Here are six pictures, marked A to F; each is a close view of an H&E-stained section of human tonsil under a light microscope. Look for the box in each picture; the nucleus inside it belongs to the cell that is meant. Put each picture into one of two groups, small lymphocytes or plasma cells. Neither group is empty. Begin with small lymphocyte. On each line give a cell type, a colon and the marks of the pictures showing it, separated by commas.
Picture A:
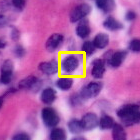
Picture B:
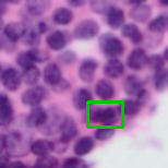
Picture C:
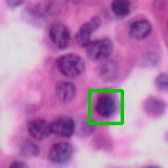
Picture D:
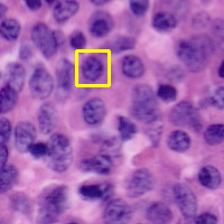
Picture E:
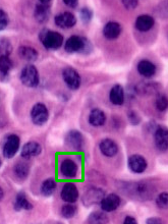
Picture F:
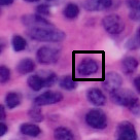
small lymphocyte: A, B
plasma cell: C, D, E, F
